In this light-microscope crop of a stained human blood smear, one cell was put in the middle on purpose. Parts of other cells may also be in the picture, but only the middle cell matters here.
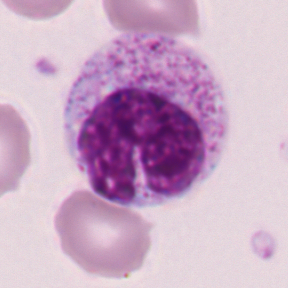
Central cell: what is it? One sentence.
At the center of the crop sits a band neutrophil.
